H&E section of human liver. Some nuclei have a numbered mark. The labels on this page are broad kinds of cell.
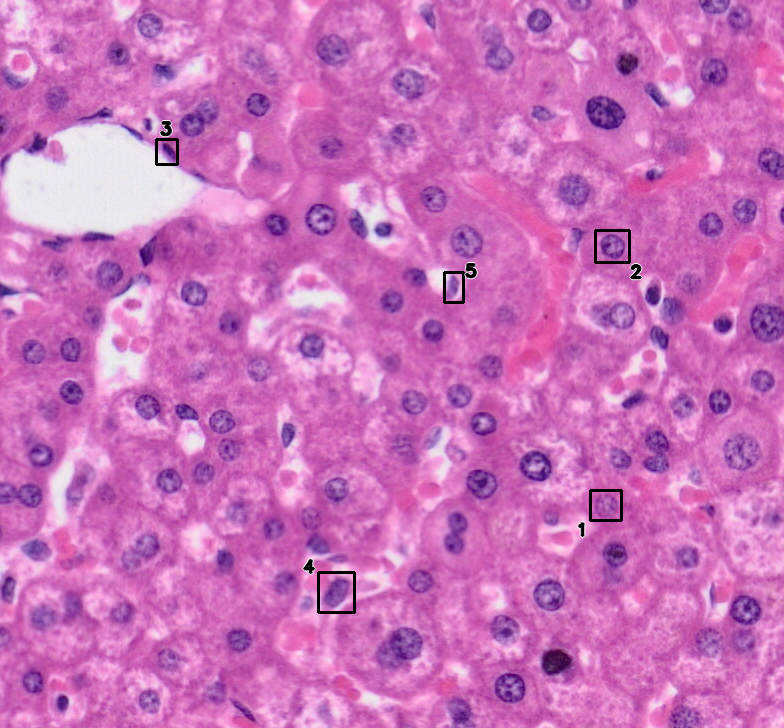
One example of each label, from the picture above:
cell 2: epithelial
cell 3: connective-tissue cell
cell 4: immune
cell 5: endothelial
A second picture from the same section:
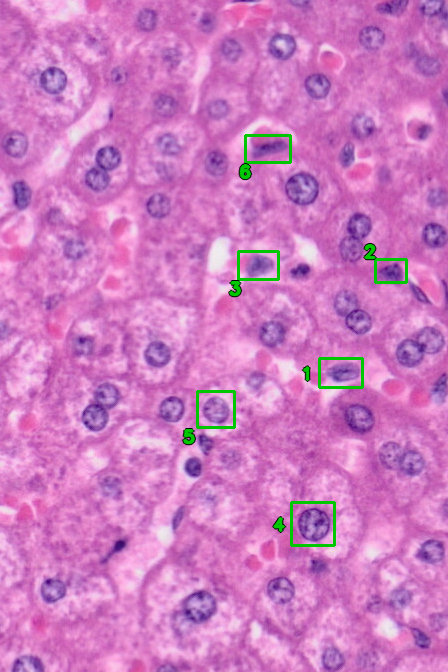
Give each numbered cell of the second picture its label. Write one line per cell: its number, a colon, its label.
1: endothelial
2: connective-tissue cell
3: endothelial
4: epithelial
5: epithelial
6: immune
